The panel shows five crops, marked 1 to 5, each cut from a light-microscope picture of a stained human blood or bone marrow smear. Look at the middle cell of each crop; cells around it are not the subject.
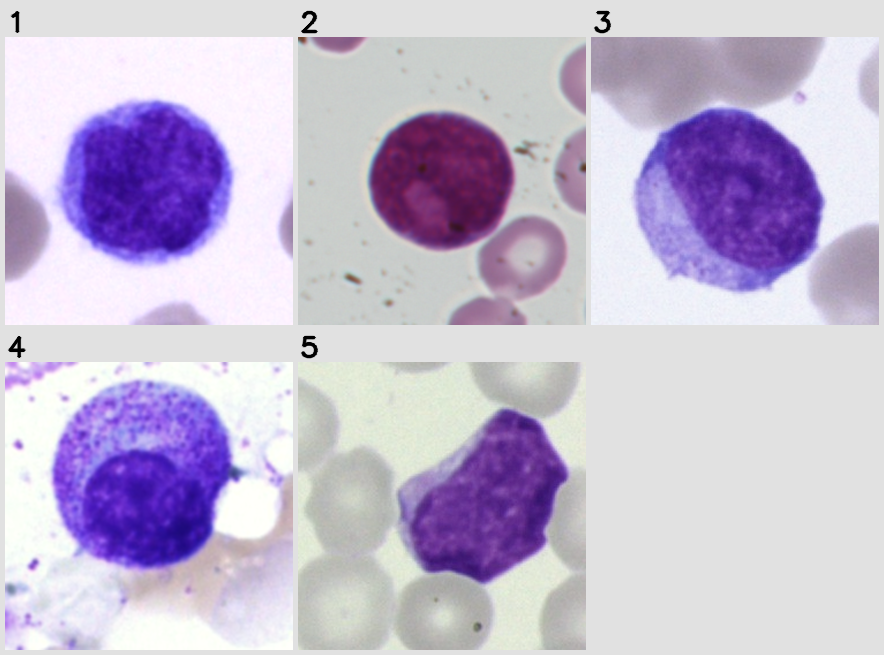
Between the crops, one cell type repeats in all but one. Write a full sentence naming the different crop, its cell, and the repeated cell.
The central cell of crop 4 is a myelocyte, while the other crops show blasts.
